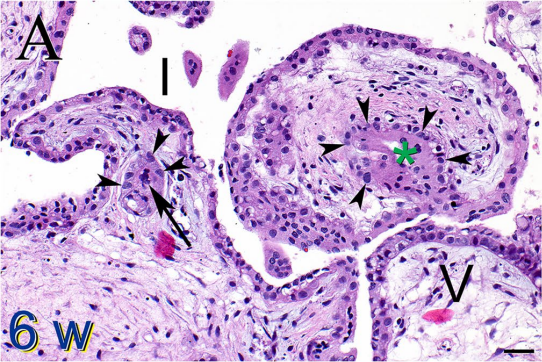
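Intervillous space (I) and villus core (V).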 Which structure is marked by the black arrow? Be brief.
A: Trophoblast inclusion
